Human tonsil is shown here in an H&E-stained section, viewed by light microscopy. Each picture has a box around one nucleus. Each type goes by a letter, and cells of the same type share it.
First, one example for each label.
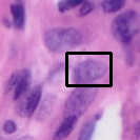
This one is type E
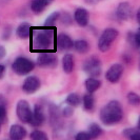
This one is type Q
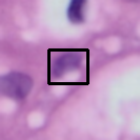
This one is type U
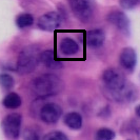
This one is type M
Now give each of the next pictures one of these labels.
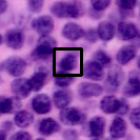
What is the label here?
type Q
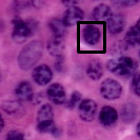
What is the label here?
type M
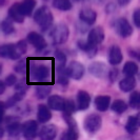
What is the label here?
type Q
